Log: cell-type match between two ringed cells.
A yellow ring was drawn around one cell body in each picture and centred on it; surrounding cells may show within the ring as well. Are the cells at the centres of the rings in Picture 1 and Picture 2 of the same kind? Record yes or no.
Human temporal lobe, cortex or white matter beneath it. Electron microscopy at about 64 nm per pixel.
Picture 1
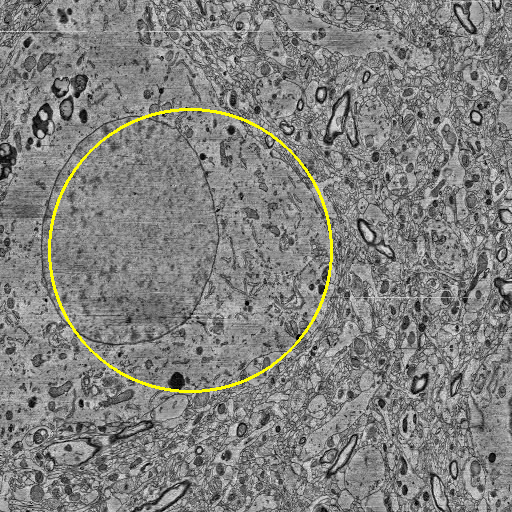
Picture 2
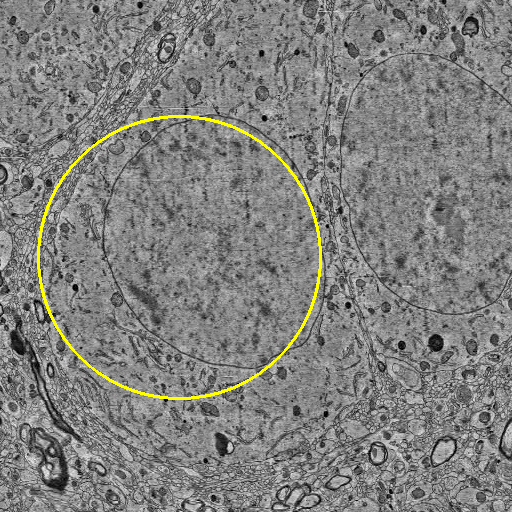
yes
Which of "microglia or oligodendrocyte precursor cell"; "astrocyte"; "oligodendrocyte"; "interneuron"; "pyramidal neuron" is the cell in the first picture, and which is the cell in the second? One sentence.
Each of the two cells is a pyramidal neuron.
